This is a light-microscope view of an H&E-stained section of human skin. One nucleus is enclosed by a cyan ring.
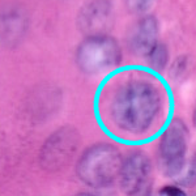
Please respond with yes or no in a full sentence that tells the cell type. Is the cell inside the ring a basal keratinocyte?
Yes, that the cell inside the ring is a basal keratinocyte is correct.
